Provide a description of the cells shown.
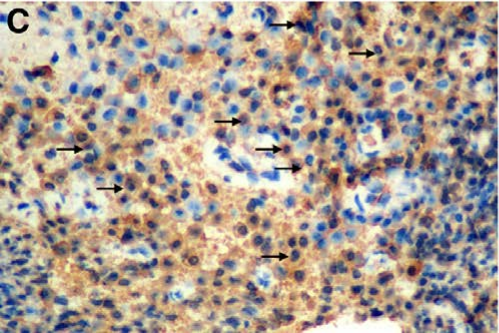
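The stained cells are round to oval, with a round blue nucleus set off to one side and a rim of brown cytoplasm around it. They lie scattered and clustered through the field, mixed with unstained cells whose nuclei are blue alone. Small thin-walled vessels with clear lumens lie among them, and the background stroma shows a faint diffuse brownish tint. The brown-stained cells are numerous, making up a large share of the infiltrate in this field.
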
